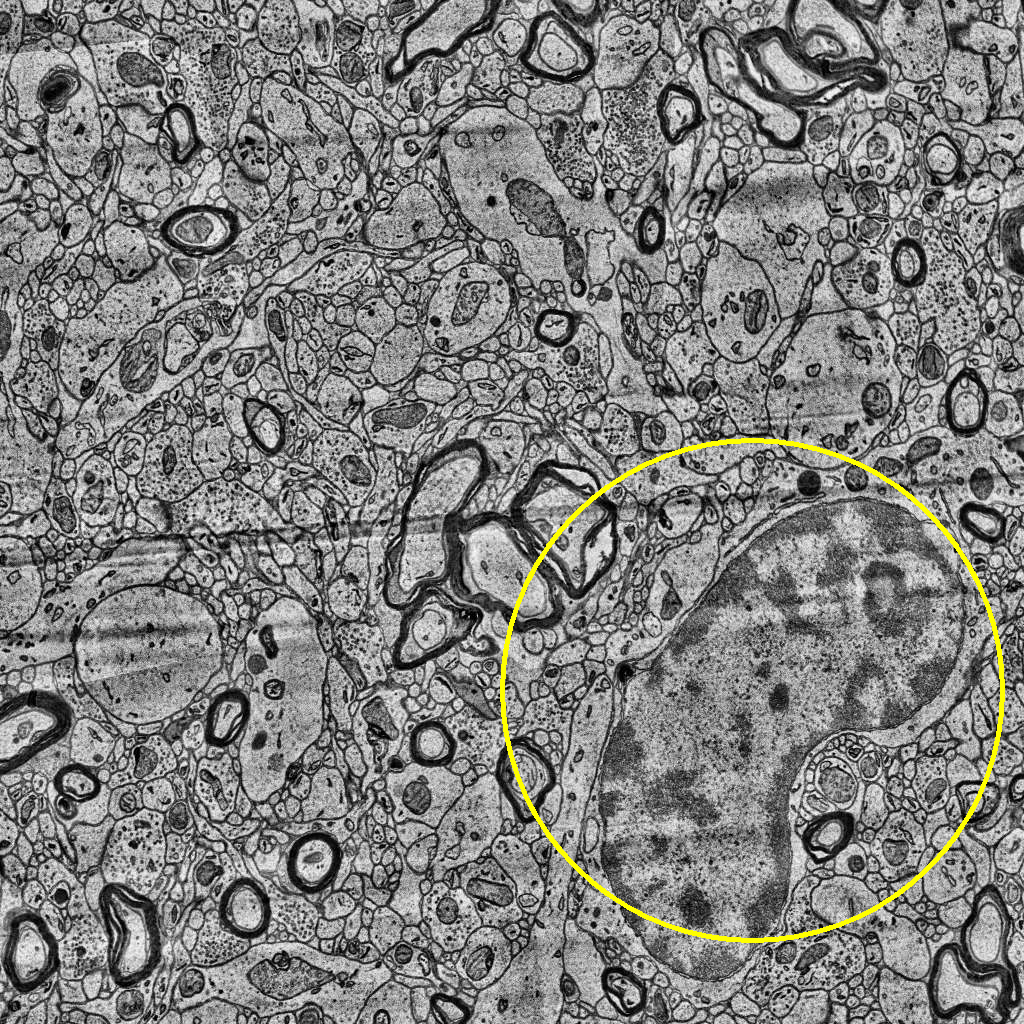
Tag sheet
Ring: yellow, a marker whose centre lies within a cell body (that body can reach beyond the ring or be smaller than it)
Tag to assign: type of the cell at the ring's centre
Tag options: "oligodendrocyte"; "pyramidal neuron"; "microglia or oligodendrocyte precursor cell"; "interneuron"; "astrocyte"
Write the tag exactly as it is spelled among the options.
microglia or oligodendrocyte precursor cell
